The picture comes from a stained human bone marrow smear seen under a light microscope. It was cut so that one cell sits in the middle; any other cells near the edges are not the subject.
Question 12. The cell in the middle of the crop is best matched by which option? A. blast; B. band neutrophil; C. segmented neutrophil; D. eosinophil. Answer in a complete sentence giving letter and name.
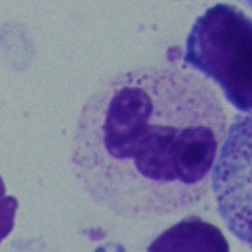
Of the choices given, option C is right, as the central cell is a segmented neutrophil.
